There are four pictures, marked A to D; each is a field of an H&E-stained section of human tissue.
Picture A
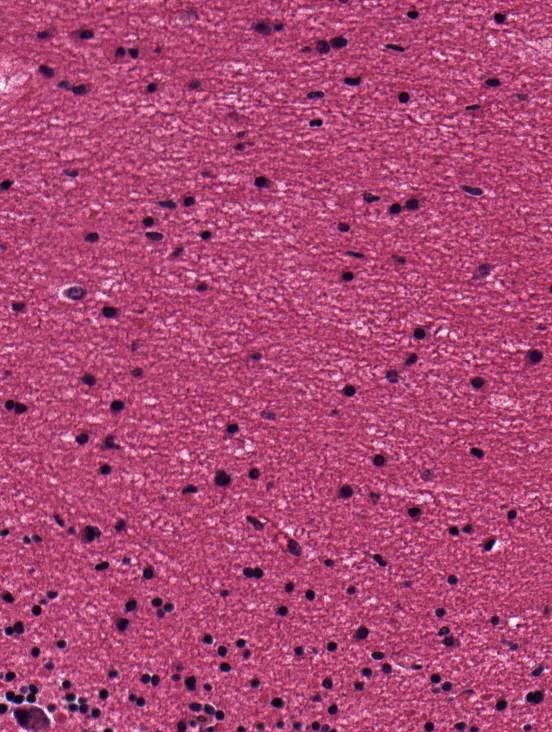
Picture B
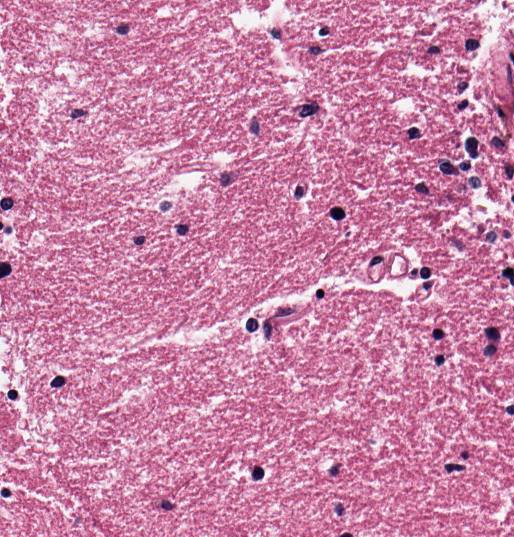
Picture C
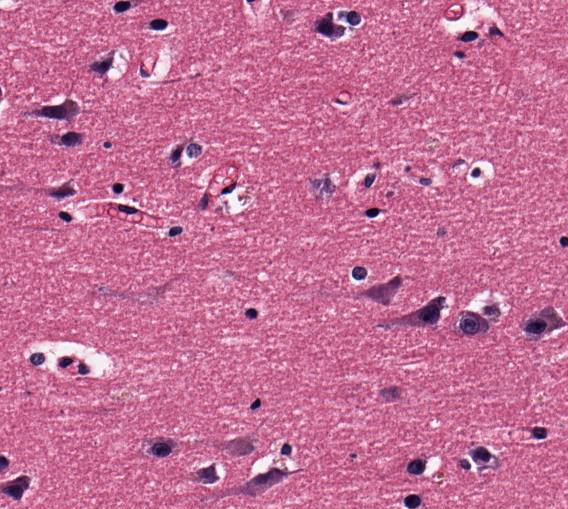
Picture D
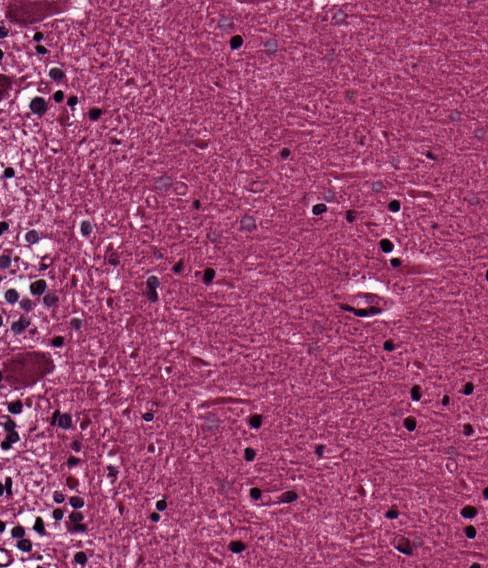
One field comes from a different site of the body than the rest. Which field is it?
C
